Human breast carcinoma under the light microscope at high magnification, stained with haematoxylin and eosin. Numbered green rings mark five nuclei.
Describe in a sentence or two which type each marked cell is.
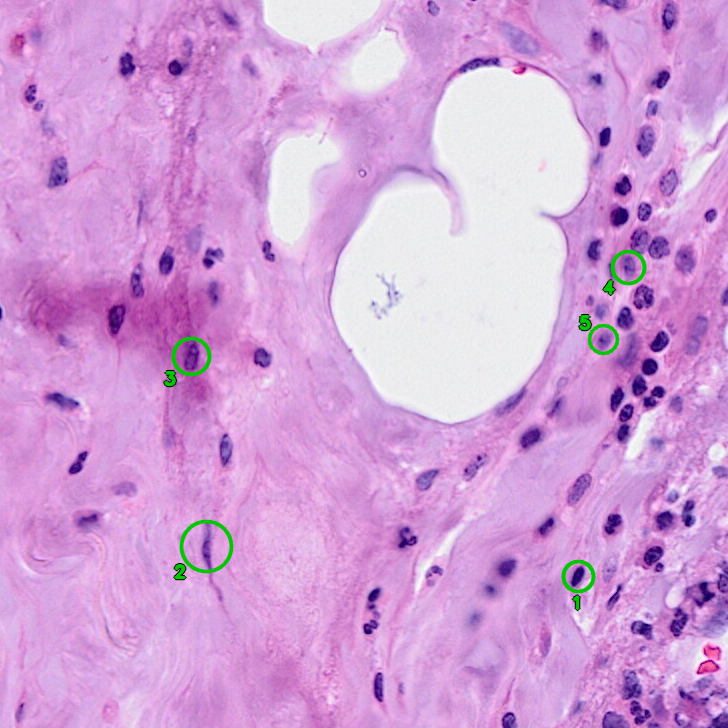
Cell 1 is a lymphocyte. Cells 2 and 3 are fibroblasts. Cells 4 and 5 are mast cells.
